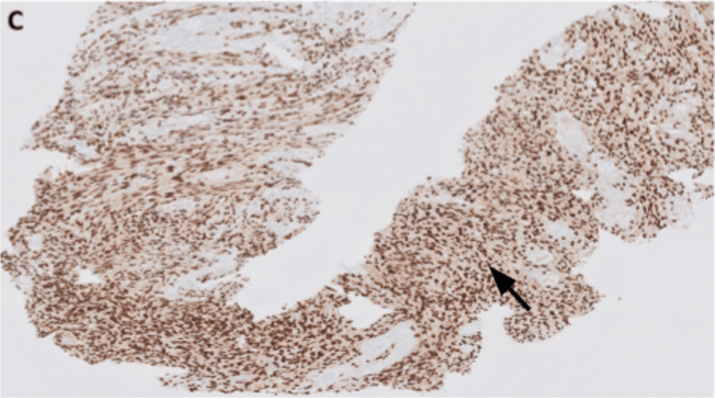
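Nearly every nucleus across the whole core is brown, showing a diffuse nuclear pattern rather than scattered positive cells. The nuclei are elongated and oval, lined up in streaming bundles, and in some areas they crowd densely while in others they lie farther apart in paler, looser tissue.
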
